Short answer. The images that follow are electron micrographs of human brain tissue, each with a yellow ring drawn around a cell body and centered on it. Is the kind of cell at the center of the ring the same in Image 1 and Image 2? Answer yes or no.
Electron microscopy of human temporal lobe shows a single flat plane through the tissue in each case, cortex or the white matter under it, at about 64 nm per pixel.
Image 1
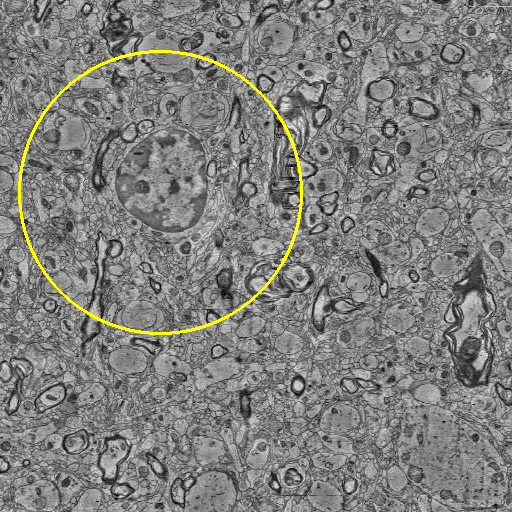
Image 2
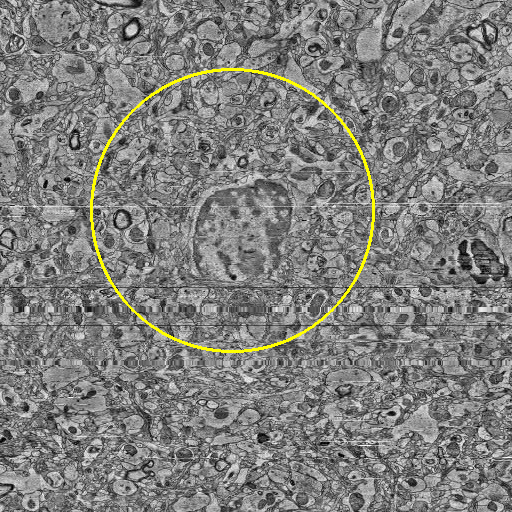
yes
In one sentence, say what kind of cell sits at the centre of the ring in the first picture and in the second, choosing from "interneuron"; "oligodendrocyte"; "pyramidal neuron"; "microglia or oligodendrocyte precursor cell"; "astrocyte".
Each of the two cells is a microglial cell or oligodendrocyte precursor cell.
